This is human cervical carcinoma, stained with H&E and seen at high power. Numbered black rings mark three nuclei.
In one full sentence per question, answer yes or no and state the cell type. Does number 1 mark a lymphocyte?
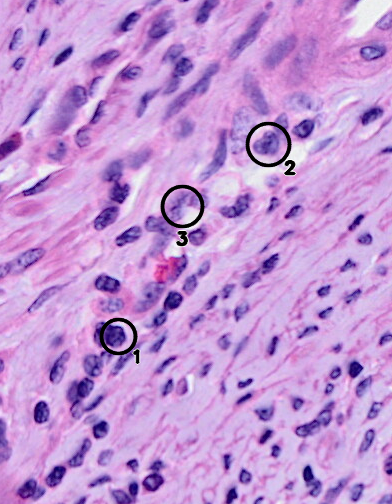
Yes, the cell marked with number 1 is a lymphocyte.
